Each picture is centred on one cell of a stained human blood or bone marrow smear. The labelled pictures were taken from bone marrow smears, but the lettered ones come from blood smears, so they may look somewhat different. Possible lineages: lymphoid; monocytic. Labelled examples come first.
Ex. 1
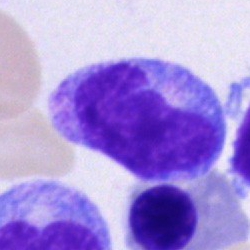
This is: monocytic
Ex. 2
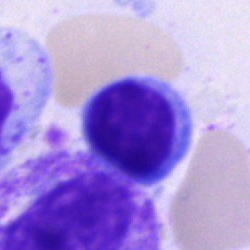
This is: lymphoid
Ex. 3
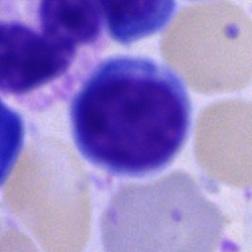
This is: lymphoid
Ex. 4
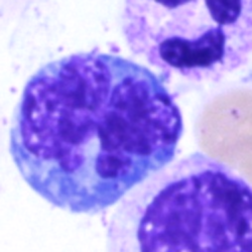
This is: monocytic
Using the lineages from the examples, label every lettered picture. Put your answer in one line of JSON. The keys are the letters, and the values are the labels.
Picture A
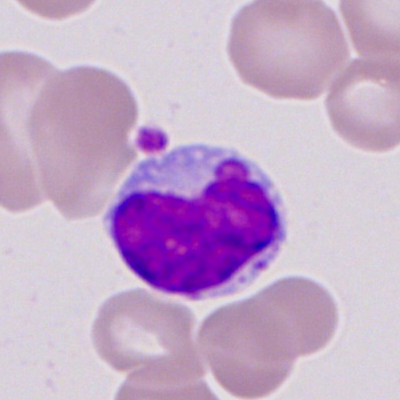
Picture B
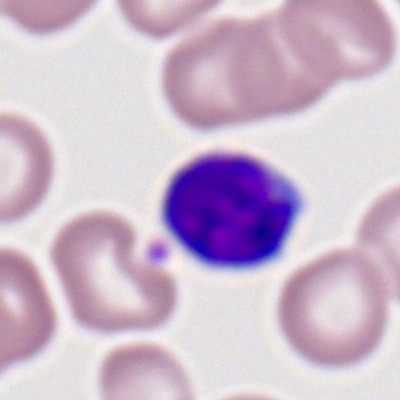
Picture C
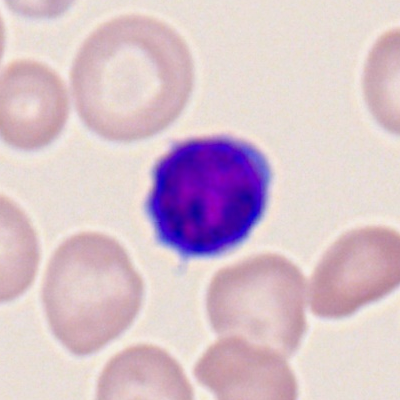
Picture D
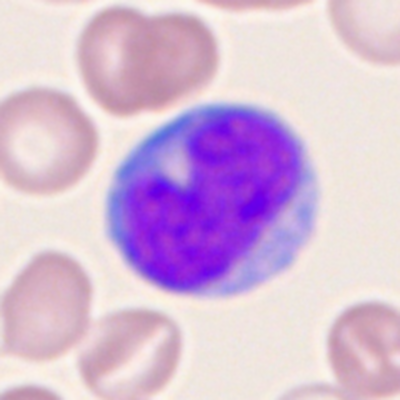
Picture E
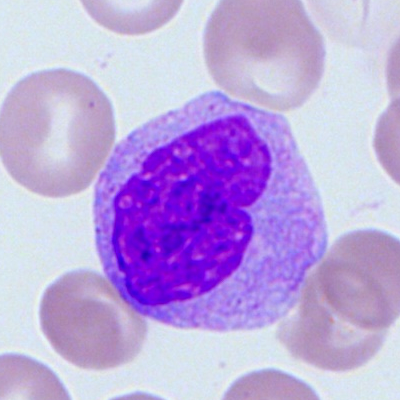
{"A": "lymphoid", "B": "lymphoid", "C": "lymphoid", "D": "monocytic", "E": "monocytic"}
